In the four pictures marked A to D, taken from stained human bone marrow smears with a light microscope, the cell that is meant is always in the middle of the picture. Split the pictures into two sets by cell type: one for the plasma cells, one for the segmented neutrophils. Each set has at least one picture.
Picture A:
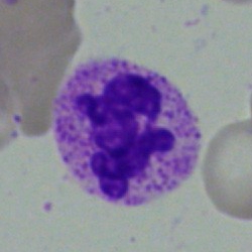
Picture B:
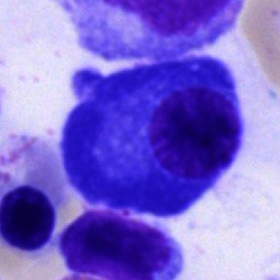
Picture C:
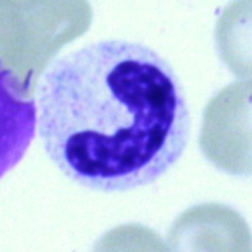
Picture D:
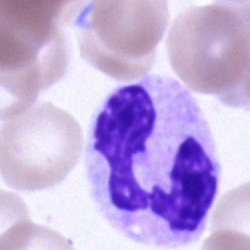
A: segmented neutrophil
B: plasma cell
C: segmented neutrophil
D: segmented neutrophil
